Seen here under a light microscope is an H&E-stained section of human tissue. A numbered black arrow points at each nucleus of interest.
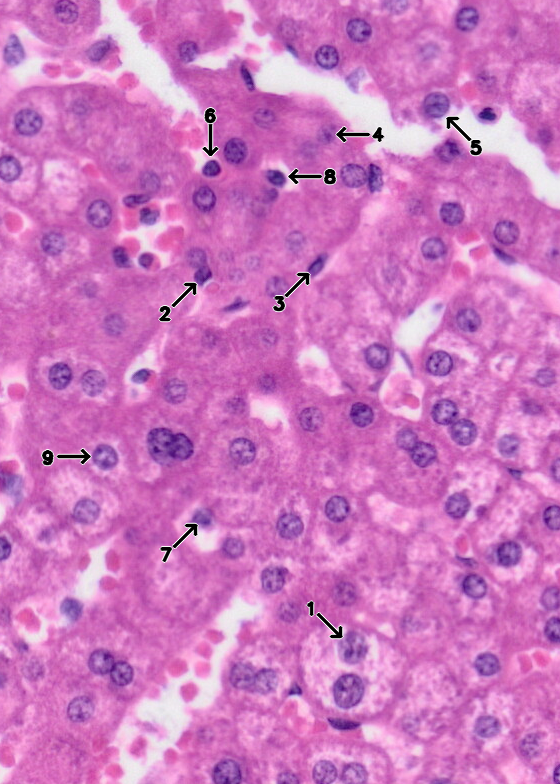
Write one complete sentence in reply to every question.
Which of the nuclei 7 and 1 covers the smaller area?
The smaller nucleus is 7, and 1 covers roughly 2.5 times its area.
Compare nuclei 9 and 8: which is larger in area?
Nucleus 9 is the larger one, covering about 2 times the area of nucleus 8.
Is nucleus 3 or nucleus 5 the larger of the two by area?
Nucleus 5 is the larger one, covering about 1.5 times the area of nucleus 3.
